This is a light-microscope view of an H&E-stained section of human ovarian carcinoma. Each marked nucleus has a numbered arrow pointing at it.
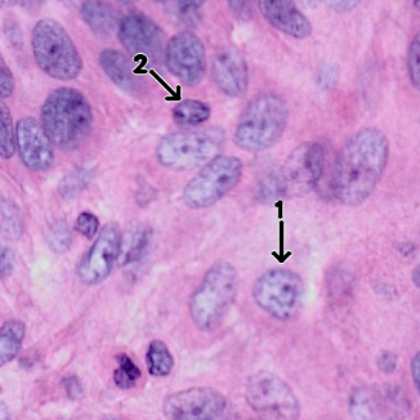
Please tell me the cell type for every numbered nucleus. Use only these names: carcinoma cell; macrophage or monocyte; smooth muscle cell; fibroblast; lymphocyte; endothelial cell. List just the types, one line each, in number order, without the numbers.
fibroblast
macrophage or monocyte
